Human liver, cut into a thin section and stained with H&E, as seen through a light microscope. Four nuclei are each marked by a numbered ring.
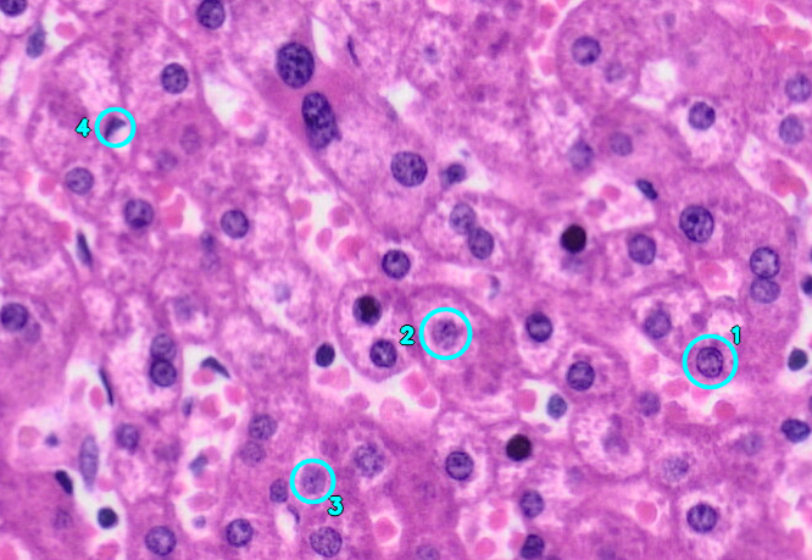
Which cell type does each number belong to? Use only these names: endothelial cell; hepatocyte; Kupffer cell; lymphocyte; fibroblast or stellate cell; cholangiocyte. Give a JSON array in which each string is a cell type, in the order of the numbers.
["hepatocyte", "hepatocyte", "hepatocyte", "endothelial cell"]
